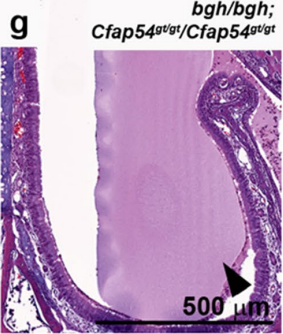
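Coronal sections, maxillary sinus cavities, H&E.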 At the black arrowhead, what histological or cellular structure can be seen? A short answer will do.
Mucus.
